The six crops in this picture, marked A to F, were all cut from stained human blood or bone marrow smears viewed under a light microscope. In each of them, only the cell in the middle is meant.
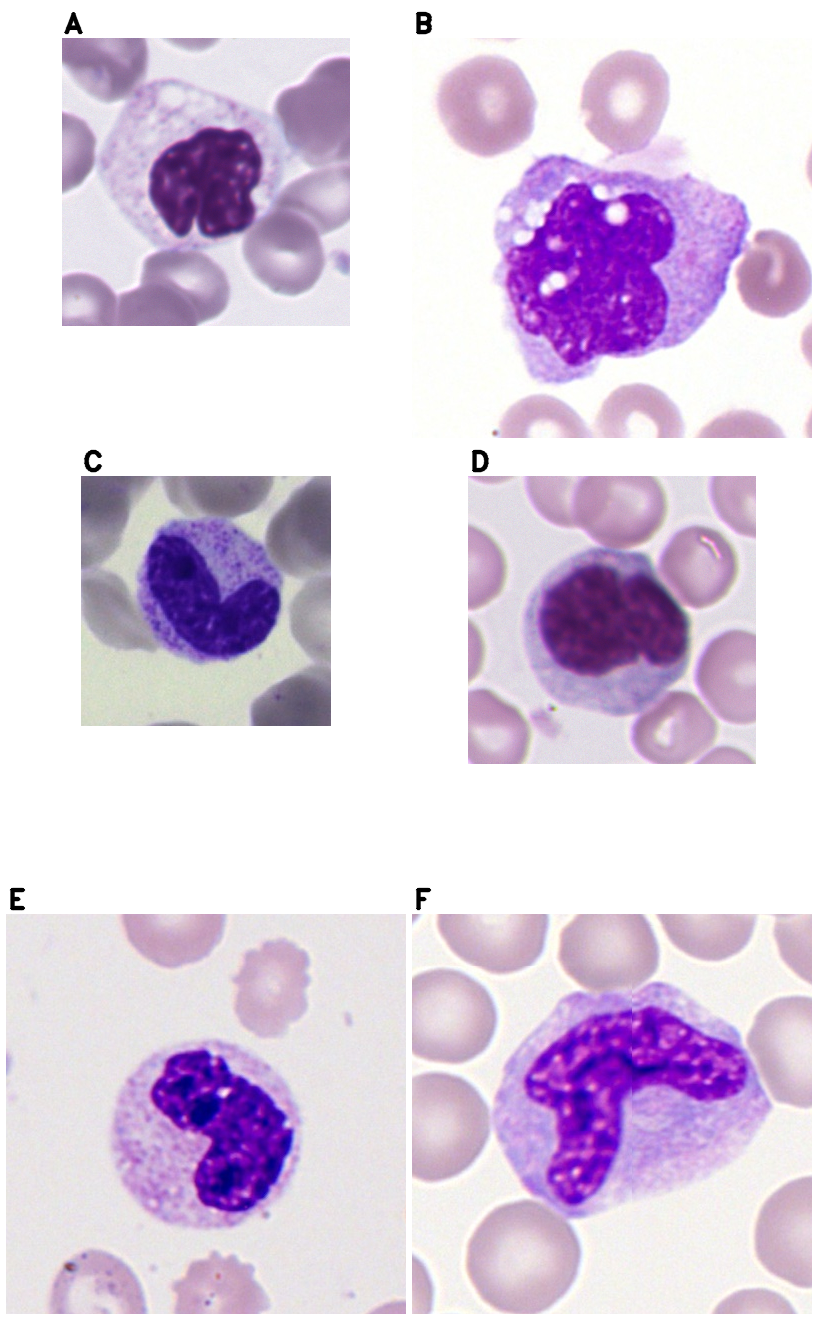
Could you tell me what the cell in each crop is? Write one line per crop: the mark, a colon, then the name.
A: band neutrophil
B: monocyte
C: band neutrophil
D: monocyte
E: band neutrophil
F: monocyte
